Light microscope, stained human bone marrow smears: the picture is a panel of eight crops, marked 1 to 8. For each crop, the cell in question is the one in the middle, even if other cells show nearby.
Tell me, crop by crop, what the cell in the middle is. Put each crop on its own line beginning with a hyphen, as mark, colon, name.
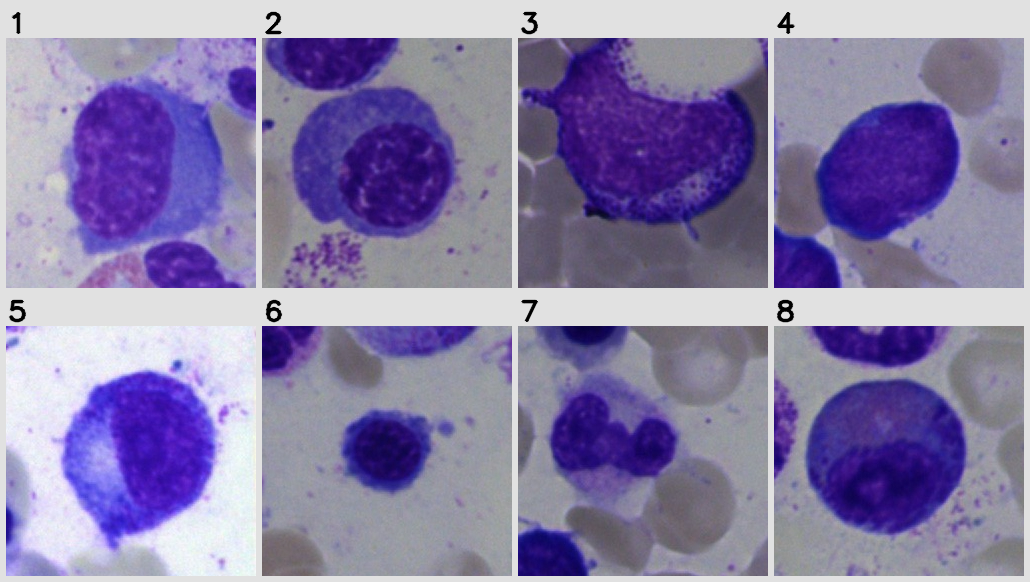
- 1: plasma cell
- 2: plasma cell
- 3: promyelocyte
- 4: blast
- 5: promyelocyte
- 6: lymphocyte
- 7: segmented neutrophil
- 8: eosinophil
